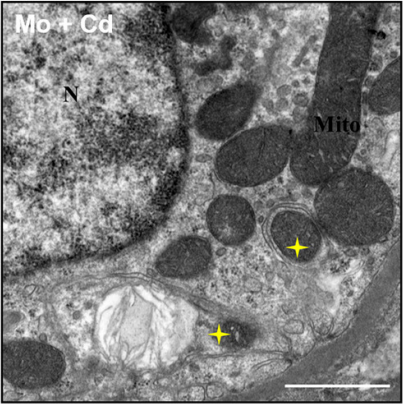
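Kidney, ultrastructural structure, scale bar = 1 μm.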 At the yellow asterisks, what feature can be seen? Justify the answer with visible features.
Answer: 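Mitophagosomes. One marked body is round and enclosed by a double membrane around a mitochondrion-like content. The other marked body is dense material next to a pale membranous vacuole.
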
